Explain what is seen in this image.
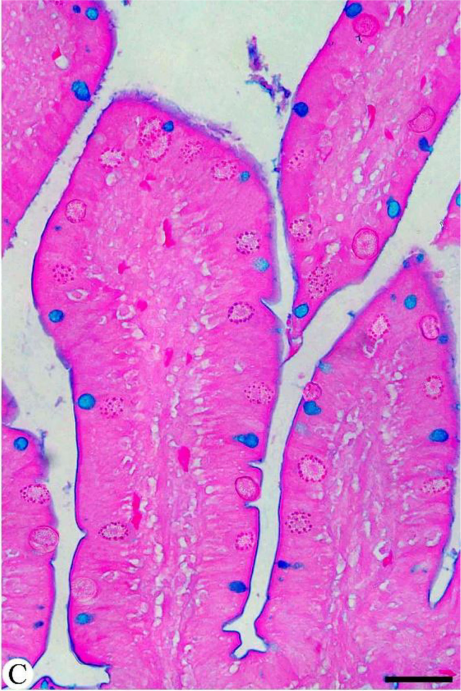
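This is the small intestinal mucosa with broad villi covered by pink columnar epithelium and scattered blue-stained goblet cells. The goblet cells are rounded and lie along the outer surface of the villi at irregular intervals. Within the epithelium are numerous rounded bodies with clear outlines, many filled with small dark dots, which are unlike anything in normal epithelium. The villi appear wide and blunt at their tips, with a pale central core containing small vacuoles. Neighbouring villi are separated by clear spaces.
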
